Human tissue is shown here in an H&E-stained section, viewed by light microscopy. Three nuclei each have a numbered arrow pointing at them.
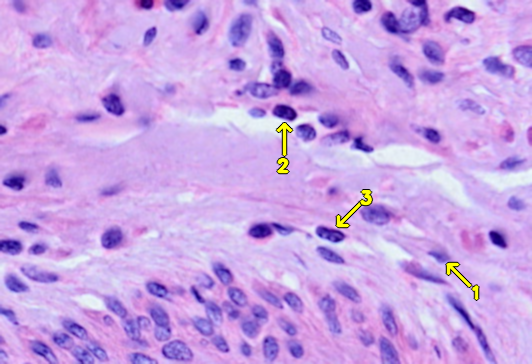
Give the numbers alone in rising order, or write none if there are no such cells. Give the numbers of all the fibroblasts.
1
